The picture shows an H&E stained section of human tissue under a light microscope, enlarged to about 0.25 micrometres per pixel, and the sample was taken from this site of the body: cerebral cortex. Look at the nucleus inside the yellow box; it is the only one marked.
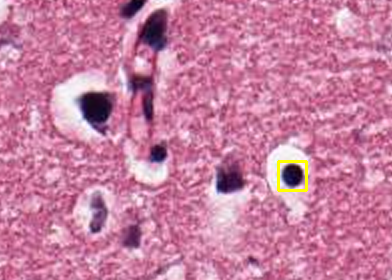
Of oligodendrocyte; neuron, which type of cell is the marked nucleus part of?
oligodendrocyte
